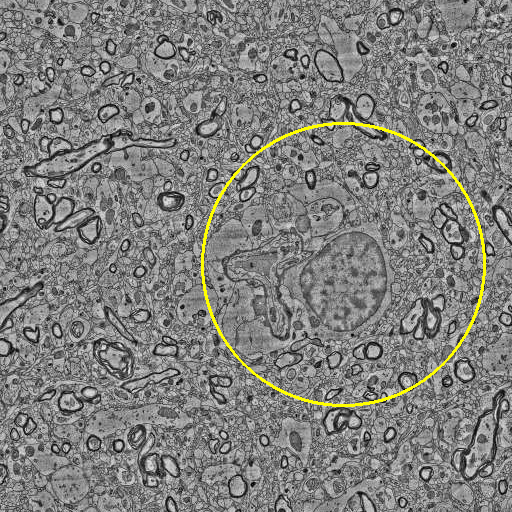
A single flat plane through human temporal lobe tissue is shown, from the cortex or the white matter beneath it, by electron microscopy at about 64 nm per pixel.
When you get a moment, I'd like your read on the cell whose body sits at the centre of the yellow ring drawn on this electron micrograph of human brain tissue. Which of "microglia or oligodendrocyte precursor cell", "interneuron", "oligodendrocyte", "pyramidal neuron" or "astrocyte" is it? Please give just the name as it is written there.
oligodendrocyte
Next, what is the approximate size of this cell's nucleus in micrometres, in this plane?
The nucleus comes to roughly 7 by 5 micrometres in this plane.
